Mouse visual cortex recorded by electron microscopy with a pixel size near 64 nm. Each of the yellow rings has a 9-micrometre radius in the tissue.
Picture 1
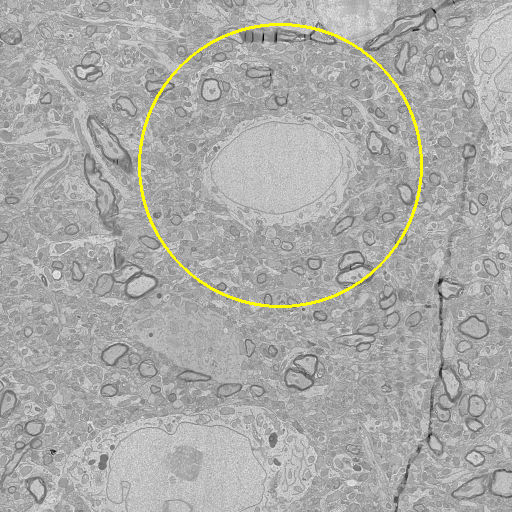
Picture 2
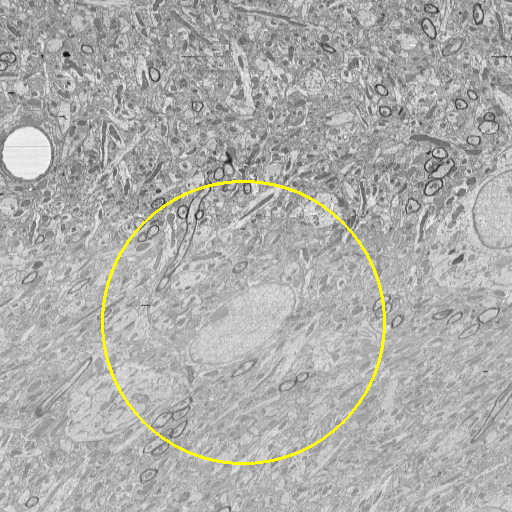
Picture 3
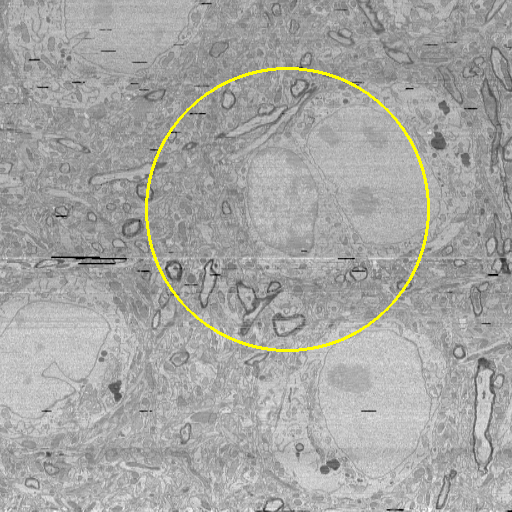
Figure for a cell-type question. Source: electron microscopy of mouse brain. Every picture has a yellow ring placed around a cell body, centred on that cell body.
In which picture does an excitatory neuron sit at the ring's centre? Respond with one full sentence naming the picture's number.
The cell in the middle of the ring in picture 1 is the one sought.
